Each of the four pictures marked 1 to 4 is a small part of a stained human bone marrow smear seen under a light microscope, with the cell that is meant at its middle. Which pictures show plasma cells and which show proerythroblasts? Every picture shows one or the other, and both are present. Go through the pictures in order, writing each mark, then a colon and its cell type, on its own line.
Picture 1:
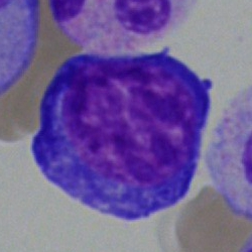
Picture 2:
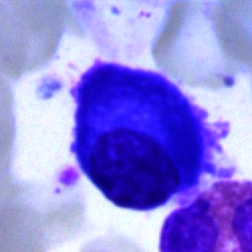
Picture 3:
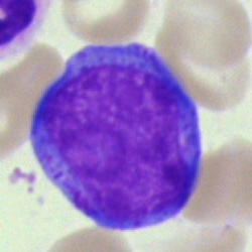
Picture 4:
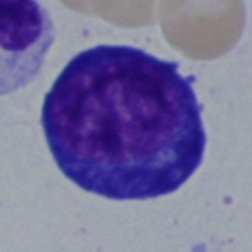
1: proerythroblast
2: plasma cell
3: proerythroblast
4: proerythroblast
